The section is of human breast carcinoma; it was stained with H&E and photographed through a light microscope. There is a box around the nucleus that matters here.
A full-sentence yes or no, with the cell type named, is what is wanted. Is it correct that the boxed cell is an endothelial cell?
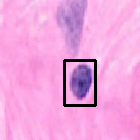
No, for the boxed cell the correct label is a lymphocyte and not an endothelial cell.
